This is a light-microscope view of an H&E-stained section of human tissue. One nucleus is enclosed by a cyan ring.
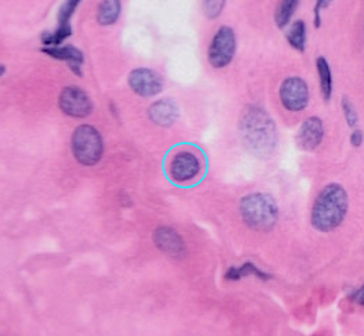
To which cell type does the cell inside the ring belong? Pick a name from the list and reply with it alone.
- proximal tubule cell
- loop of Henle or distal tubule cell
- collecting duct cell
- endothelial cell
loop of Henle or distal tubule cell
